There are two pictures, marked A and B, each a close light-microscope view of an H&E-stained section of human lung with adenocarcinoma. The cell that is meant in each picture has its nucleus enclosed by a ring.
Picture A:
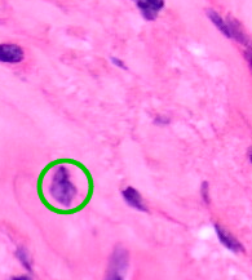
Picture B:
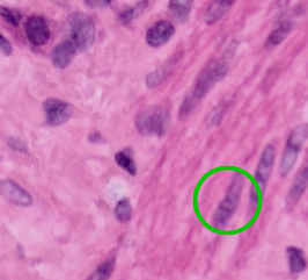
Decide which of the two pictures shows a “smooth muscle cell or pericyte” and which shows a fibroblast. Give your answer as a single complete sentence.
Picture B shows a “smooth muscle cell or pericyte”, while picture A shows a fibroblast.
